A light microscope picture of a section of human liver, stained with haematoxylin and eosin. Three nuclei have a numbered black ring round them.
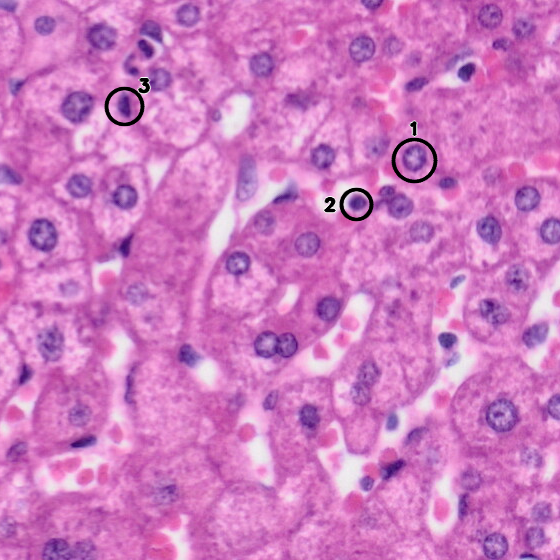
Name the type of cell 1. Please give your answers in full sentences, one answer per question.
Here, the cell given the number 1 is a hepatocyte.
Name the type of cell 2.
The marked cell with the number 2 is recognised as a lymphocyte.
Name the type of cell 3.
The cell pointed out as number 3 is a fibroblast or stellate cell.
